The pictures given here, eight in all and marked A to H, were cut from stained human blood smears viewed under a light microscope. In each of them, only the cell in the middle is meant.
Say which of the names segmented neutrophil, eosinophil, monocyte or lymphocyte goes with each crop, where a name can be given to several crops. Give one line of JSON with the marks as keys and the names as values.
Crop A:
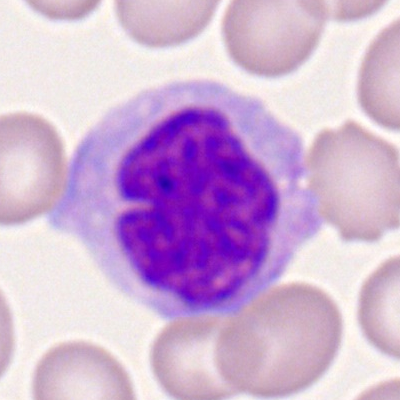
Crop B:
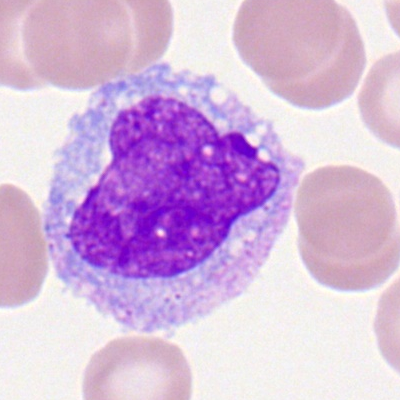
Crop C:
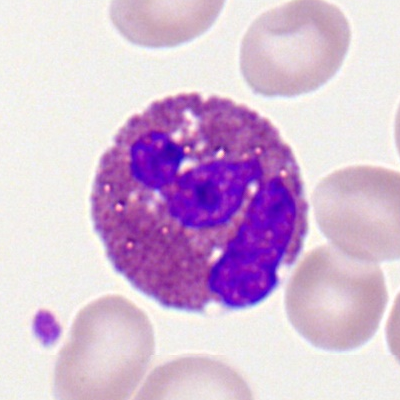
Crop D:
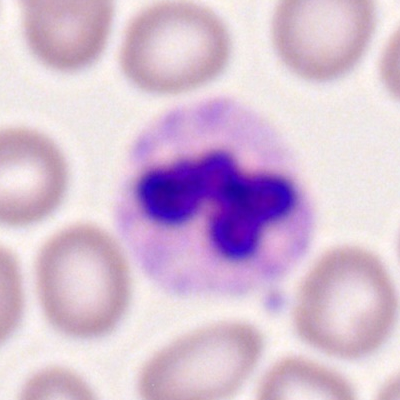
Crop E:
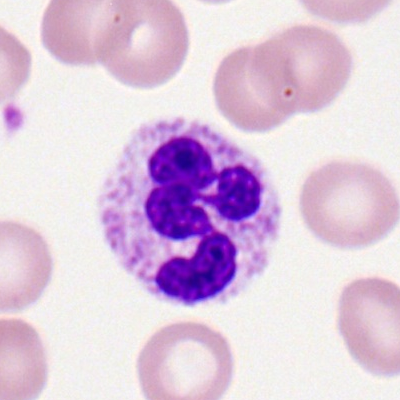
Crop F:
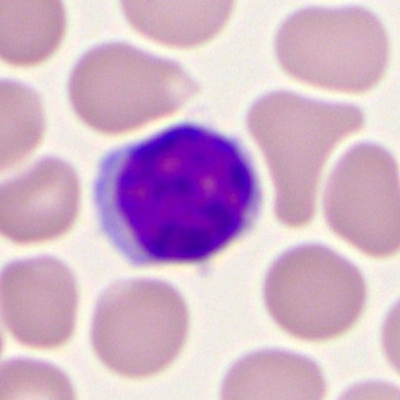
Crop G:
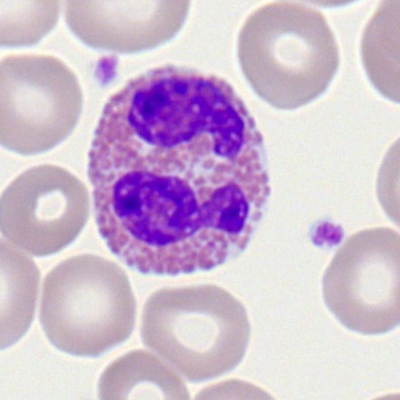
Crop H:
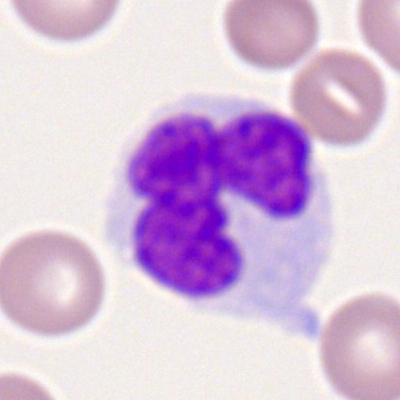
{"A": "monocyte", "B": "monocyte", "C": "eosinophil", "D": "segmented neutrophil", "E": "segmented neutrophil", "F": "lymphocyte", "G": "eosinophil", "H": "monocyte"}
